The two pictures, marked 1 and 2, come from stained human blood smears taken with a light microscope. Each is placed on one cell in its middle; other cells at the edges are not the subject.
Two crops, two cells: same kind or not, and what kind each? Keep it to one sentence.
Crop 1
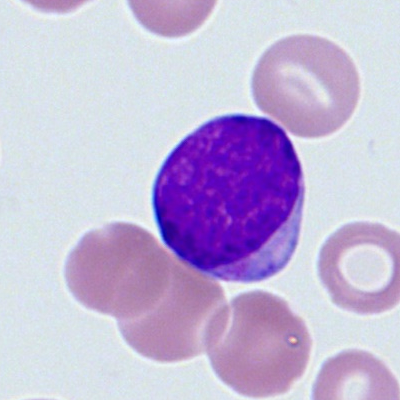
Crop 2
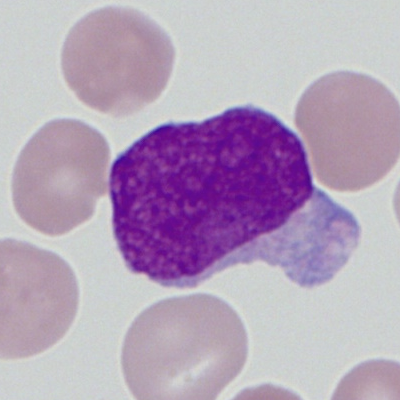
Yes, myeloblasts are present at the centre of both crops.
